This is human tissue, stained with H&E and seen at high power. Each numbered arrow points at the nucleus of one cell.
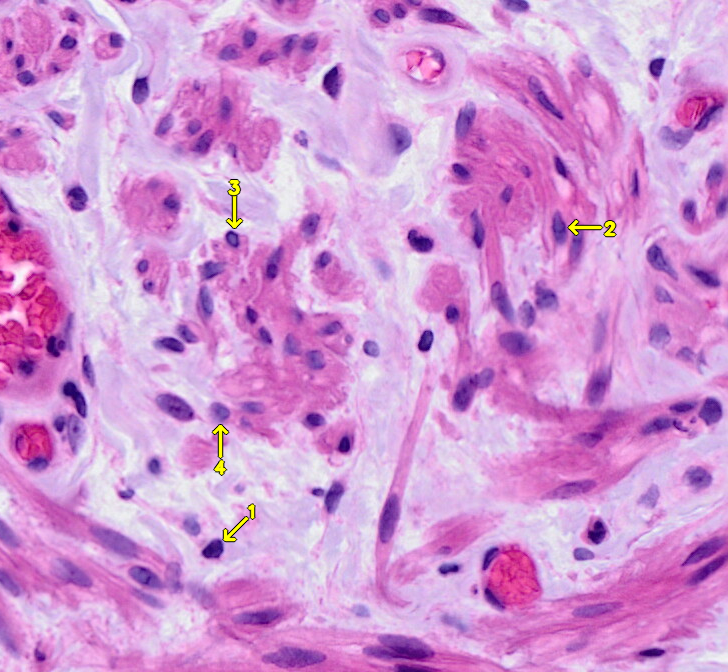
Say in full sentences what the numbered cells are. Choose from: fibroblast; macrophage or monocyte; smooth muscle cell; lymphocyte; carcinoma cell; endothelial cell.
Cell 1 is a lymphocyte, cell 2 is a smooth muscle cell, cell 3 is a smooth muscle cell and cell 4 is a smooth muscle cell.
